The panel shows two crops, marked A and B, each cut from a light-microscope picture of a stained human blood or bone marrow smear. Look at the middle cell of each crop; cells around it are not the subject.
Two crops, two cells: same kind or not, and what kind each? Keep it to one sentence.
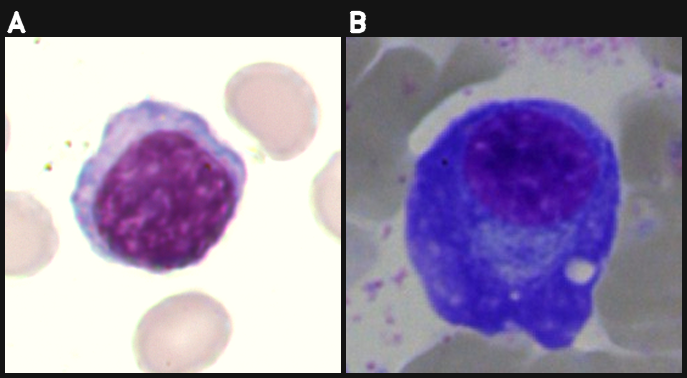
Yes, what both crops show at their centres are plasma cells.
